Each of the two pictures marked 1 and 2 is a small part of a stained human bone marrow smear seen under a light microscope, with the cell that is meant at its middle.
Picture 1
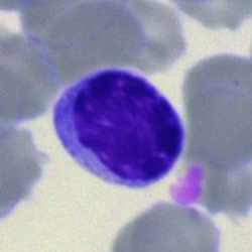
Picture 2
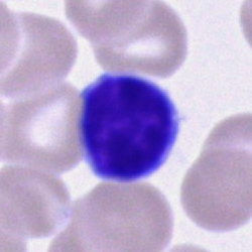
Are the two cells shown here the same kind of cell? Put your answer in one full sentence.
Yes, both cells are lymphocytes.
